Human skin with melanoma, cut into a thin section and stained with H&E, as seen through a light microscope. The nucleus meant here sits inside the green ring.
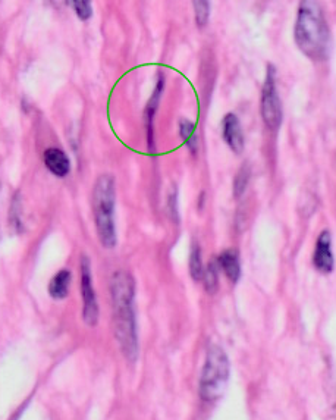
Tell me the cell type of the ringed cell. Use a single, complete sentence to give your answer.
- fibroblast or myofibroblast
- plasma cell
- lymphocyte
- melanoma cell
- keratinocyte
The expected answer is simply that the ringed cell is a fibroblast or myofibroblast.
